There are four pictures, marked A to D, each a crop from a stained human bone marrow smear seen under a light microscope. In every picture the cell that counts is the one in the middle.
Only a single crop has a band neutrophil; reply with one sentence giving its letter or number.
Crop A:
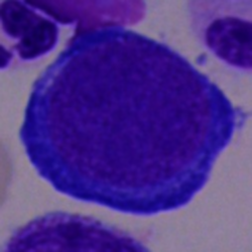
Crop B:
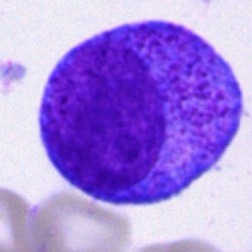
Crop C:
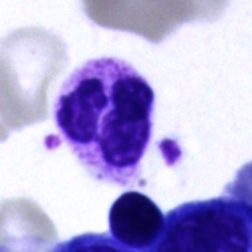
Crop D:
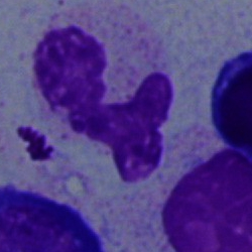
The one that shows a band neutrophil is crop D.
